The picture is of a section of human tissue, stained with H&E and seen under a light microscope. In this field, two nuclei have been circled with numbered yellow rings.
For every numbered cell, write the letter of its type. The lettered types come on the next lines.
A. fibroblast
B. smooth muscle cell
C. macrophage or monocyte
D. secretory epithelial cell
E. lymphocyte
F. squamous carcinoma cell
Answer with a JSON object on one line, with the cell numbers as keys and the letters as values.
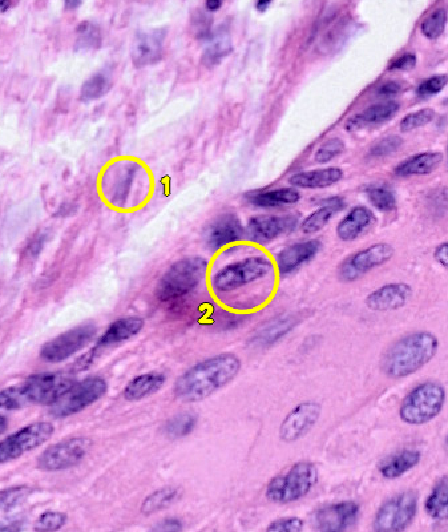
{"1": "A", "2": "F"}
